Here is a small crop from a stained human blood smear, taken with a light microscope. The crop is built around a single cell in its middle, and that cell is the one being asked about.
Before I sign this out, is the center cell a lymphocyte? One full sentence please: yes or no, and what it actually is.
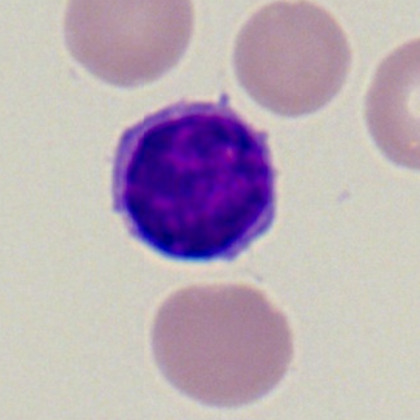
Yes, the central element of the crop is a lymphocyte.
